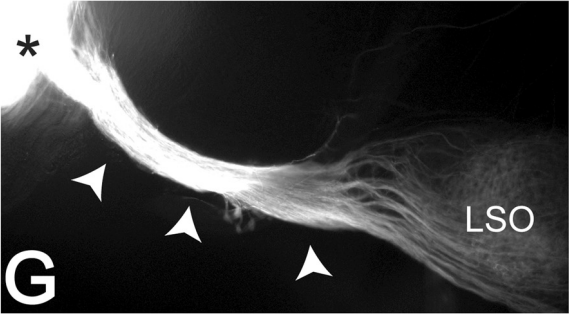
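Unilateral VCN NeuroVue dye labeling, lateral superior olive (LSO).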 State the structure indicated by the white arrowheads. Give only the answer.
Ventral acoustic stria.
